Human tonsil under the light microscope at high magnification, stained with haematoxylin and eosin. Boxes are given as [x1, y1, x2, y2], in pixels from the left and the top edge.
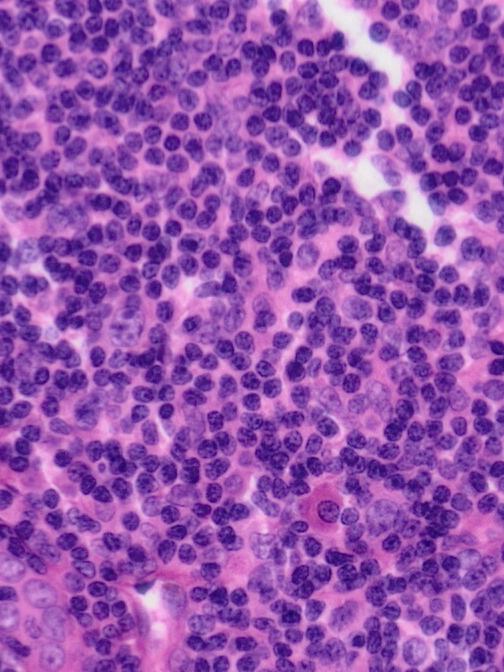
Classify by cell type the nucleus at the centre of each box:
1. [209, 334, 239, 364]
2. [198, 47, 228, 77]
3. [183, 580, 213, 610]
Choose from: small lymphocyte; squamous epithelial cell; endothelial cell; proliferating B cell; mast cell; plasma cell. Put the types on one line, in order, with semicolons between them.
small lymphocyte; small lymphocyte; endothelial cell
